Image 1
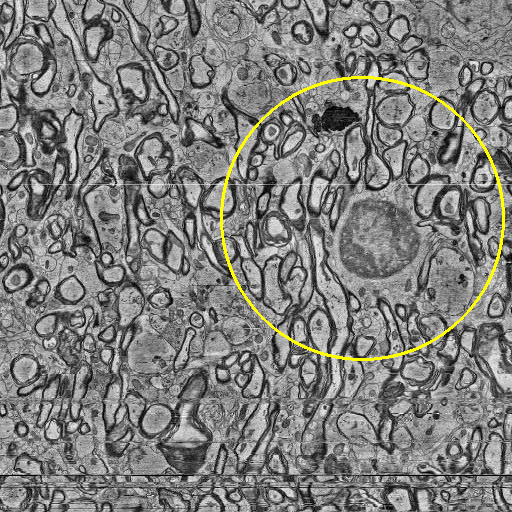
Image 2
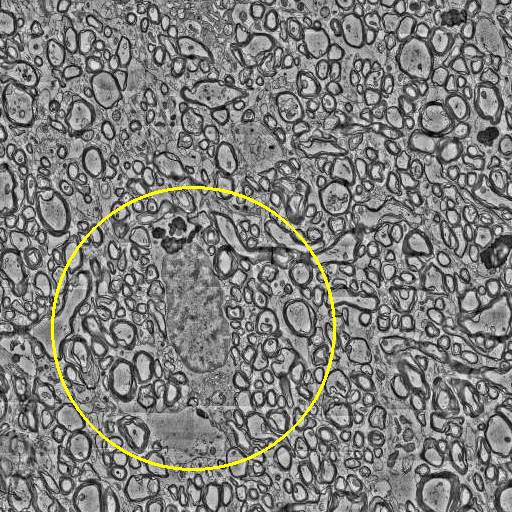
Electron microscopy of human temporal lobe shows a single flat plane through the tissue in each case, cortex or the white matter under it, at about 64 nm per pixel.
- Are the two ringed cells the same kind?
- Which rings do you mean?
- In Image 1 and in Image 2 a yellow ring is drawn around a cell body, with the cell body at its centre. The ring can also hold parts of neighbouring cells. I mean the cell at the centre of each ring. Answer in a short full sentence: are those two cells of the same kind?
Yes, both cells are of the same kind.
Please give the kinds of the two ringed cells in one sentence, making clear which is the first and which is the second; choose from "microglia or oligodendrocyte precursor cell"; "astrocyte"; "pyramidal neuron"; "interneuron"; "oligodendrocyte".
Each of the two pictures has an oligodendrocyte at the ring centre.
